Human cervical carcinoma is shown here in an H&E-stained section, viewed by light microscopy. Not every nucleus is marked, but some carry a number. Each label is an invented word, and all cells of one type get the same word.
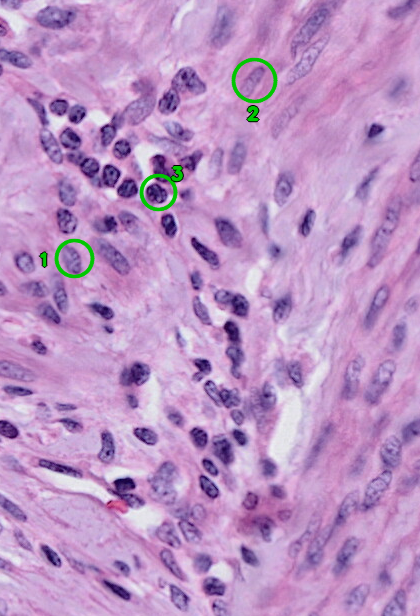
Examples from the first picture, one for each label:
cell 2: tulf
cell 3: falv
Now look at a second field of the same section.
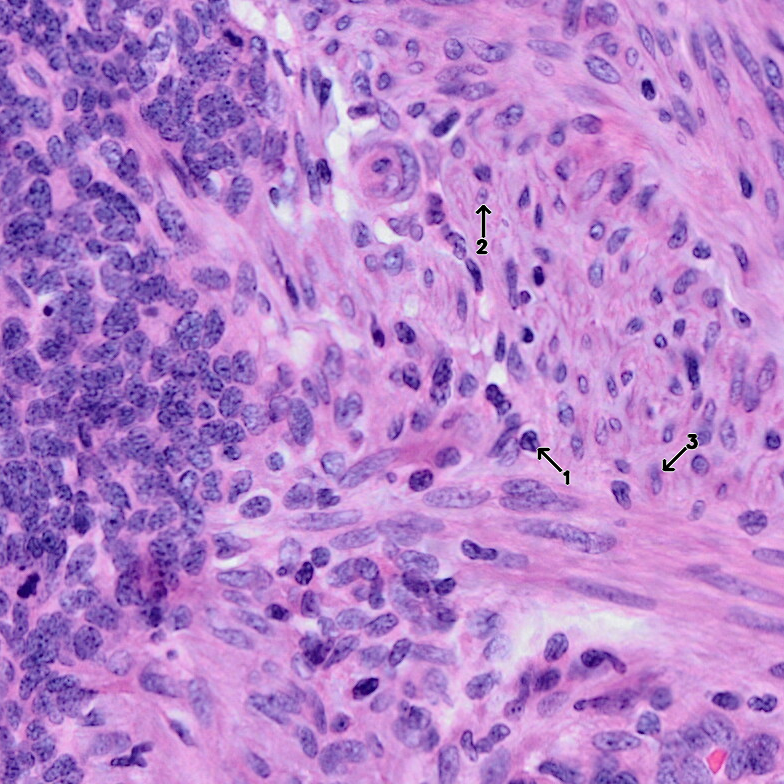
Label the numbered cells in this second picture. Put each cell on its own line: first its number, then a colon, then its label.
1: falv
2: tulf
3: tulf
